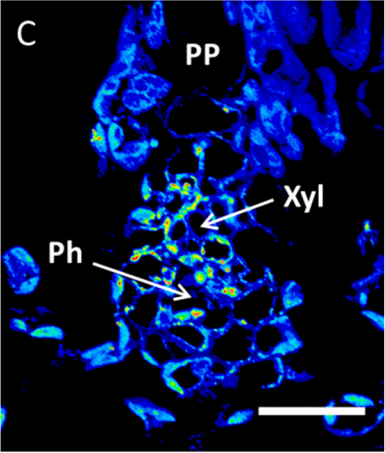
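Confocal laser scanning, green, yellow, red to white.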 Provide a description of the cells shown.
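Transverse section of a leaf minor vein with palisade parenchyma above it, shown in false-colour intensity coding on a black background. The palisade cells at the top are elongated and show mostly diffuse blue fluorescence. The vein in the centre is a compact cluster of small, rounded to polygonal cells whose outlines glow blue, with green, yellow and some red spots along their walls. Further parenchyma cells around the vein show blue outlines.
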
